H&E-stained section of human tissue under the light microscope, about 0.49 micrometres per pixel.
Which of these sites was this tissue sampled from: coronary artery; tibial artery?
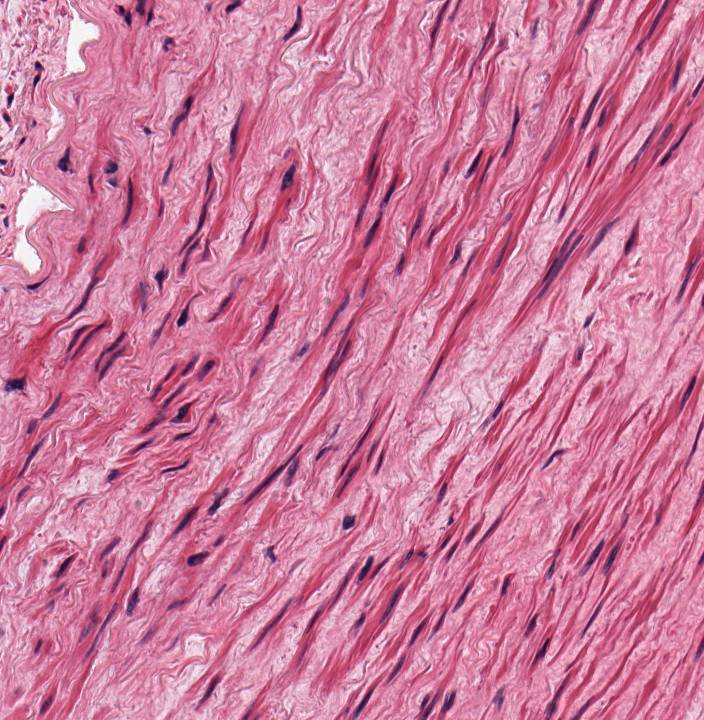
tibial artery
